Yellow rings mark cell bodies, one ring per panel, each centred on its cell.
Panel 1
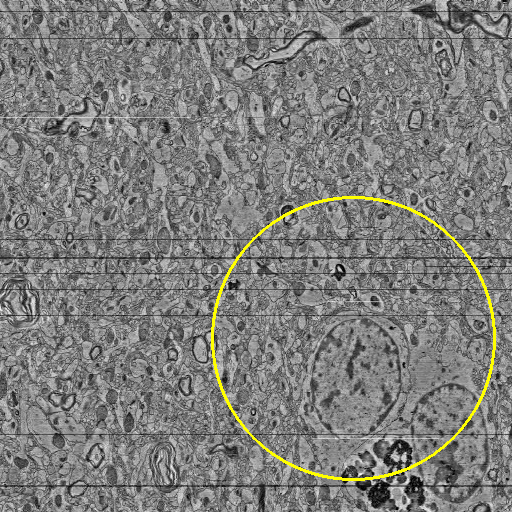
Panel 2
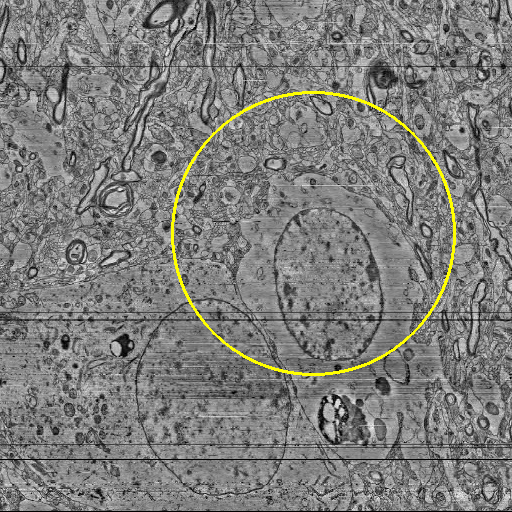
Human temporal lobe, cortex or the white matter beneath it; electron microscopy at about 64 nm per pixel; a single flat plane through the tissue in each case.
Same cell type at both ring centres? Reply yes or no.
yes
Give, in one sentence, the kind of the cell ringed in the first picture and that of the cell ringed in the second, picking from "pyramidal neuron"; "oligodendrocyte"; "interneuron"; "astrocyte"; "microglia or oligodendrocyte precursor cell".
Each one of the two ringed cells is an astrocyte.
